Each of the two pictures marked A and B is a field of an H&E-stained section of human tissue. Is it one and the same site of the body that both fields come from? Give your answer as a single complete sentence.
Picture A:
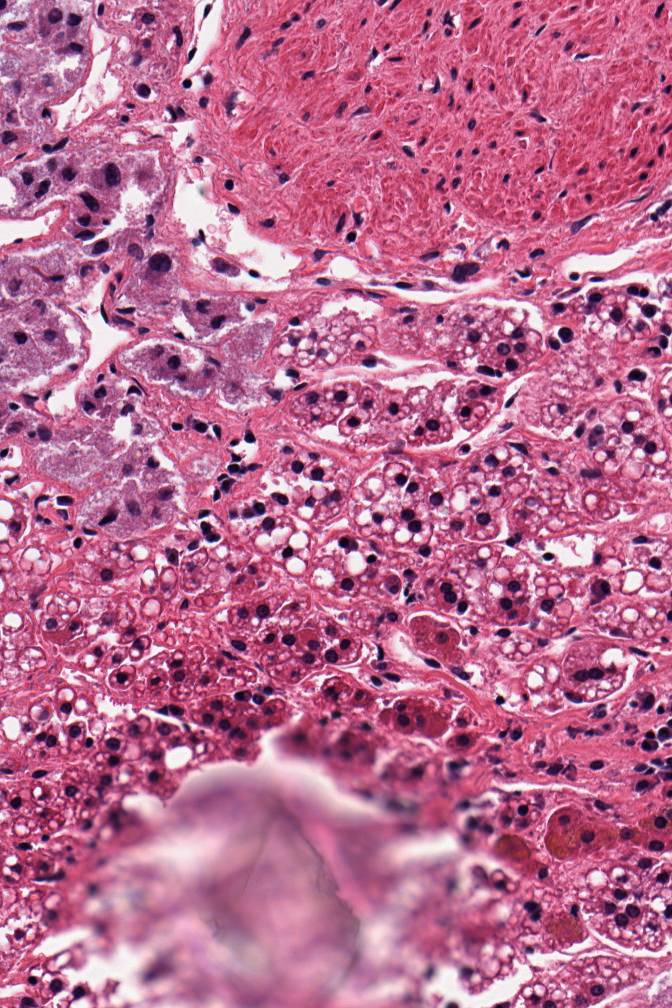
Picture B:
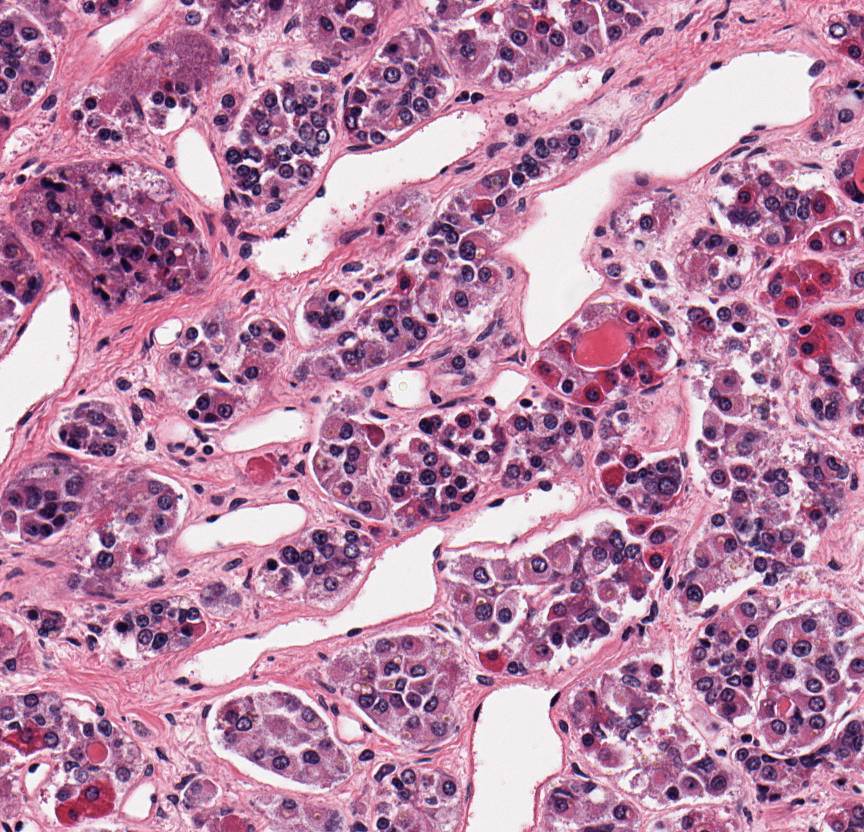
No. Picture A comes from the adrenal gland, whereas picture B comes from the pituitary.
